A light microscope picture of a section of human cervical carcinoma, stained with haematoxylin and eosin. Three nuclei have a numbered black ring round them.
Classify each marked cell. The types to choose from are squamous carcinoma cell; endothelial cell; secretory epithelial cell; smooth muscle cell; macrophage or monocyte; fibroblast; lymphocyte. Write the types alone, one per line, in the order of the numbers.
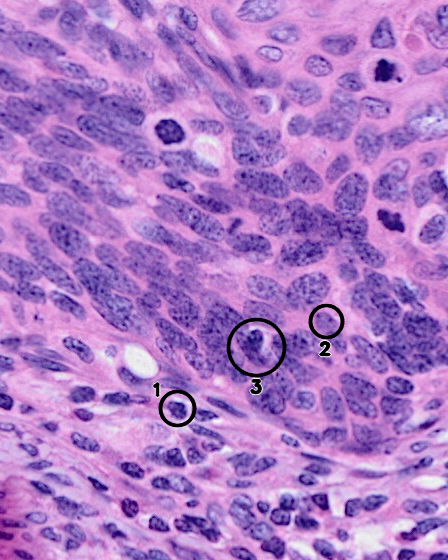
lymphocyte
squamous carcinoma cell
squamous carcinoma cell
